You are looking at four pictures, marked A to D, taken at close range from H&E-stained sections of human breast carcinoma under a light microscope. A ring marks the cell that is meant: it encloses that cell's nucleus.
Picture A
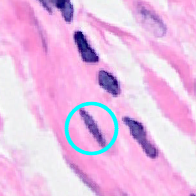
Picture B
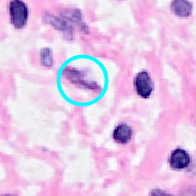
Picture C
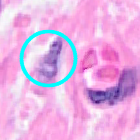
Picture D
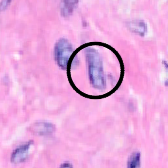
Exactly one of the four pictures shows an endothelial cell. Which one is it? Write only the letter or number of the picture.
D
